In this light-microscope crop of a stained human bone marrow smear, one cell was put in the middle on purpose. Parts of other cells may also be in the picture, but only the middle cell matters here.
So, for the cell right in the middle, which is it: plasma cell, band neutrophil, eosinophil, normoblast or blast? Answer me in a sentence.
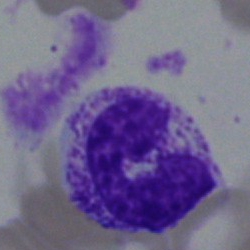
The cell shown in the center of this light-microscope crop is a band neutrophil.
